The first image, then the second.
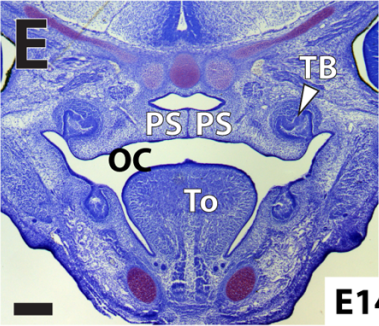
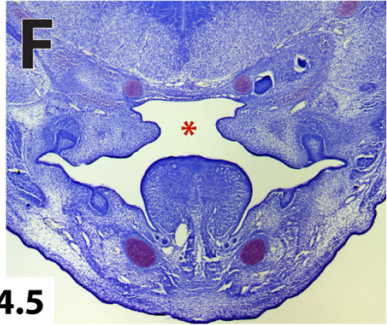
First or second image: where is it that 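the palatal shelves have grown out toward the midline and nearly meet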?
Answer: The first image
